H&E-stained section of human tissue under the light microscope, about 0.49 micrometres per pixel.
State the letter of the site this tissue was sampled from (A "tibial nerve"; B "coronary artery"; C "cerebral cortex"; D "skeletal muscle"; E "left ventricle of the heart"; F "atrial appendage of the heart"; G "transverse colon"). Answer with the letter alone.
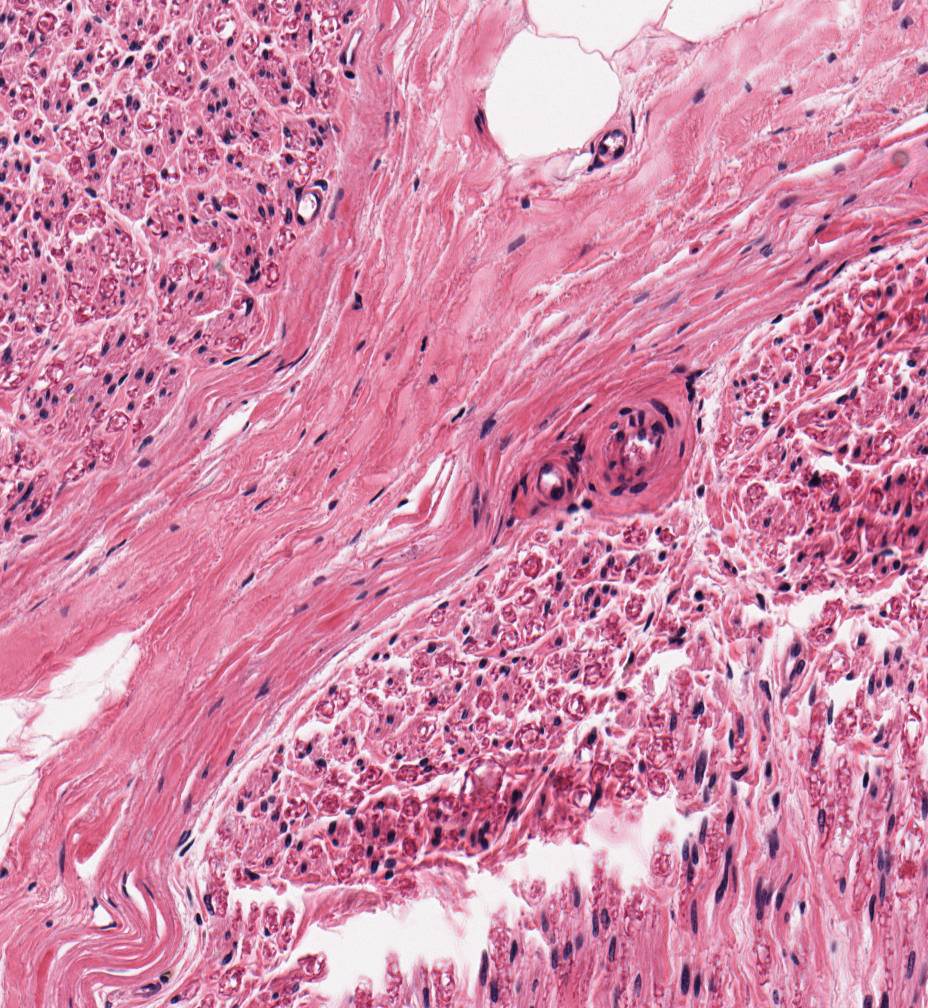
A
